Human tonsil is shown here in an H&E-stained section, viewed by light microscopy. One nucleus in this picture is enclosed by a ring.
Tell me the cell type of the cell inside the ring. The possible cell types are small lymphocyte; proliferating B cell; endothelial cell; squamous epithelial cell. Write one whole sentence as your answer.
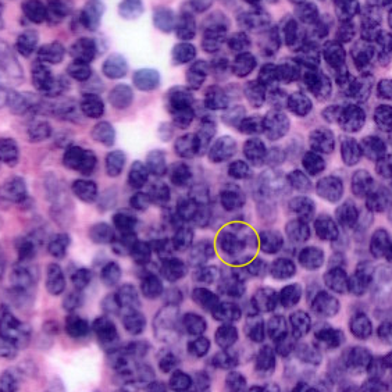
Recorded by type, the cell inside the ring is a small lymphocyte.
